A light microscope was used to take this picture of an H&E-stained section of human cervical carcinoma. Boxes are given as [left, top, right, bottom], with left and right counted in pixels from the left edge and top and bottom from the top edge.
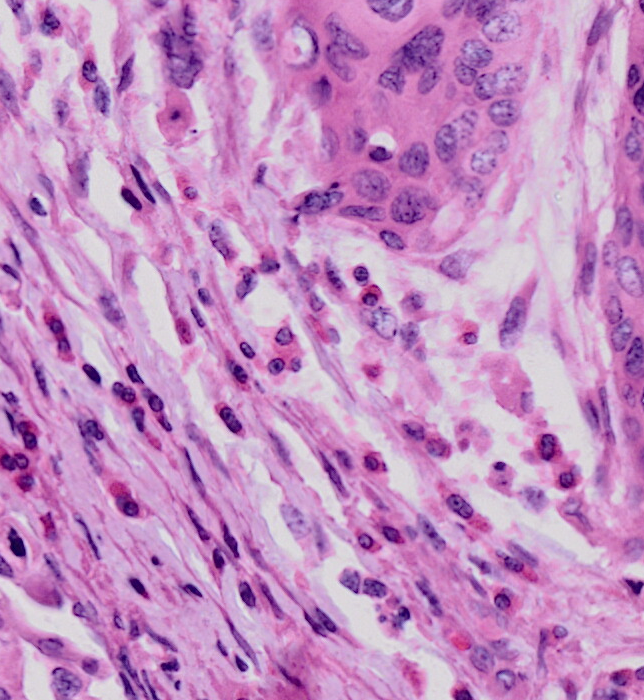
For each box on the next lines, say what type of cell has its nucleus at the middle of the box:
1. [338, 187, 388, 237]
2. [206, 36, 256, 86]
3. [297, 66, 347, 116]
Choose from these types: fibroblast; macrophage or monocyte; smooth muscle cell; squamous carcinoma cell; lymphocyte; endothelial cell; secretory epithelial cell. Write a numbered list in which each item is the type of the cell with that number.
1. squamous carcinoma cell
2. fibroblast
3. squamous carcinoma cell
